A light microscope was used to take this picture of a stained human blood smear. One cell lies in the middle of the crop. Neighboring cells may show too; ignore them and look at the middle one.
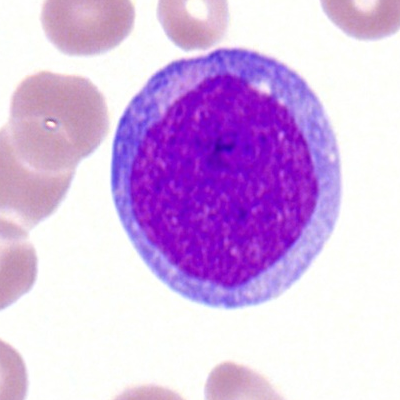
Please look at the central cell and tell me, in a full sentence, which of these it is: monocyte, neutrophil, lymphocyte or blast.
Located at the centre of the crop is a blast.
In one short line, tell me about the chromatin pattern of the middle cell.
No coarse chromatin clumps are present; the pattern is fine.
